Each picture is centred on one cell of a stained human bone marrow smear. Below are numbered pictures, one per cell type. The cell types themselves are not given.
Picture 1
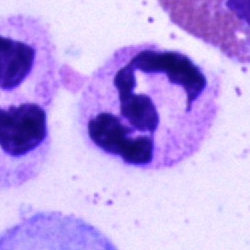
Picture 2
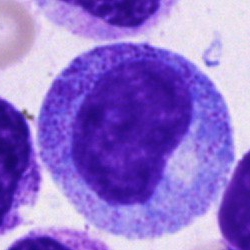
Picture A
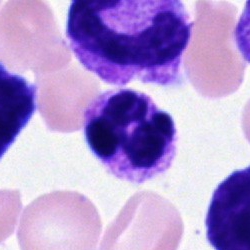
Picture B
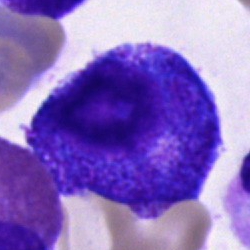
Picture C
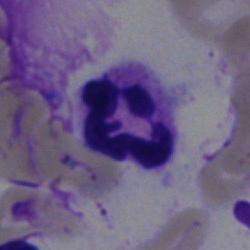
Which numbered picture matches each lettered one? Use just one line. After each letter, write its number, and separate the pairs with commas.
A 1, B 2, C 1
